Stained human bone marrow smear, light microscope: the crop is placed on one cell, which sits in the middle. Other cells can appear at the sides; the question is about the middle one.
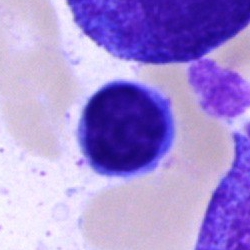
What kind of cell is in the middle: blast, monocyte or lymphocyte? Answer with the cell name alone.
lymphocyte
